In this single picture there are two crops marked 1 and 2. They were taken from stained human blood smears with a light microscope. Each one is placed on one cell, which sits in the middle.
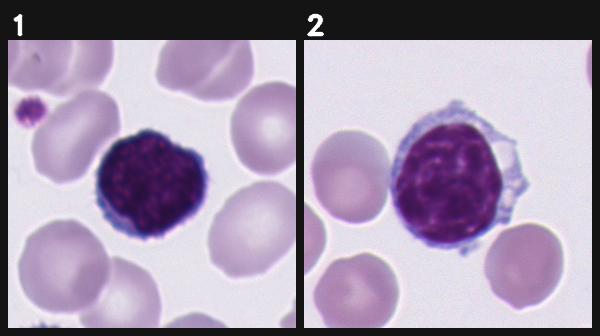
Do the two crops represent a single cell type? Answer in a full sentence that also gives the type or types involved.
Yes, the centre cells of both crops are typical lymphocytes.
